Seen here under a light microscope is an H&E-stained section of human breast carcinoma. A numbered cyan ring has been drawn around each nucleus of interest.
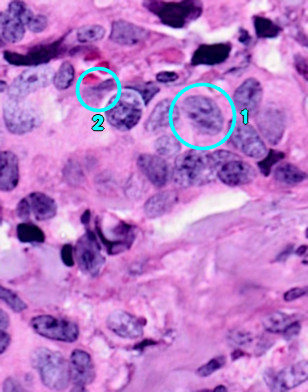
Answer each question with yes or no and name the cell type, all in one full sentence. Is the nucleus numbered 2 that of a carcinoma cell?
No, as for cell 2, it is an endothelial cell and not a carcinoma cell.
